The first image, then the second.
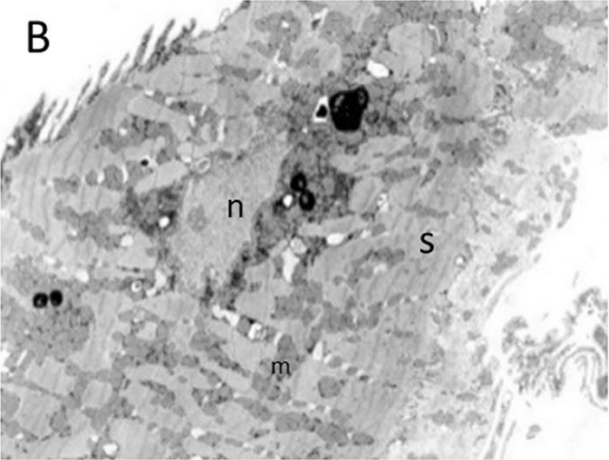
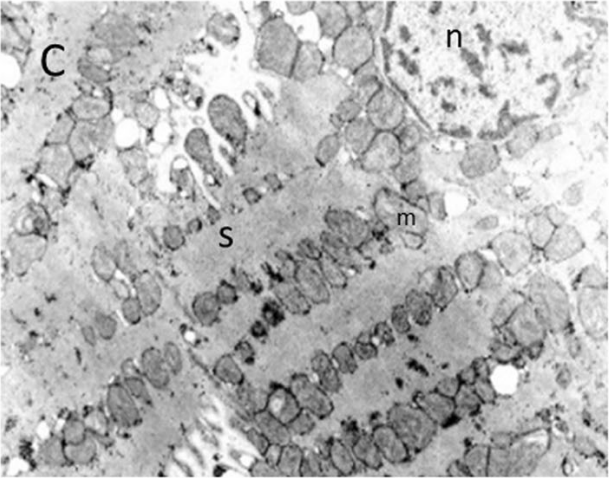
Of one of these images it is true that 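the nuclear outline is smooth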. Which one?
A: The second image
